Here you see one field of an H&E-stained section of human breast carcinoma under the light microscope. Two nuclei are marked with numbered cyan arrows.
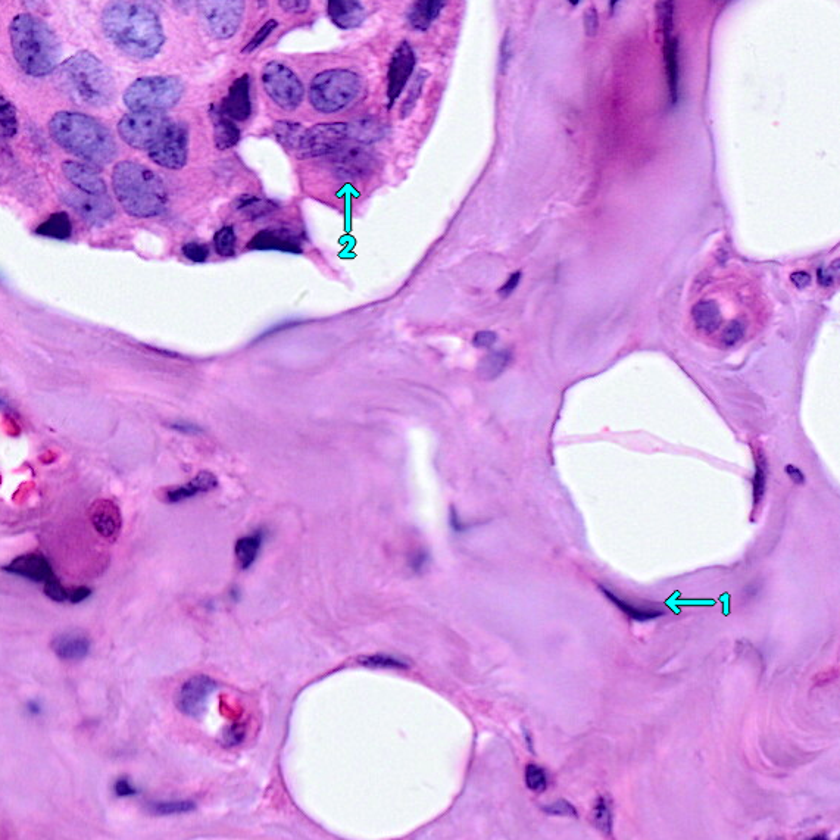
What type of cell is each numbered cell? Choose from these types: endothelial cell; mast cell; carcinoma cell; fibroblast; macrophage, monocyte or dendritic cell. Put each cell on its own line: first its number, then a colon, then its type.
1: fibroblast
2: carcinoma cell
